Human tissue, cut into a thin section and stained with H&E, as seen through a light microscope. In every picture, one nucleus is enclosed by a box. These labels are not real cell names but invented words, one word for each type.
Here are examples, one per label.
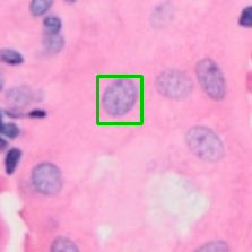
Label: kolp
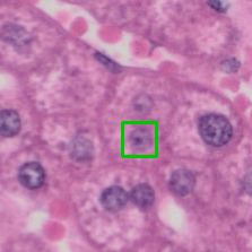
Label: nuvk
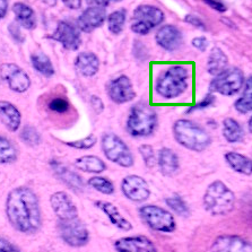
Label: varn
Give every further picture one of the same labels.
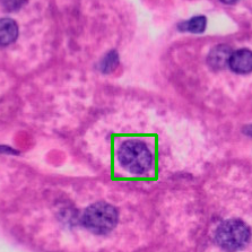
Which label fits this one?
nuvk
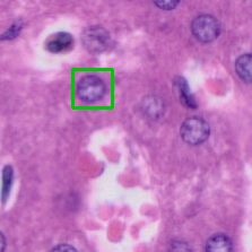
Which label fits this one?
nuvk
